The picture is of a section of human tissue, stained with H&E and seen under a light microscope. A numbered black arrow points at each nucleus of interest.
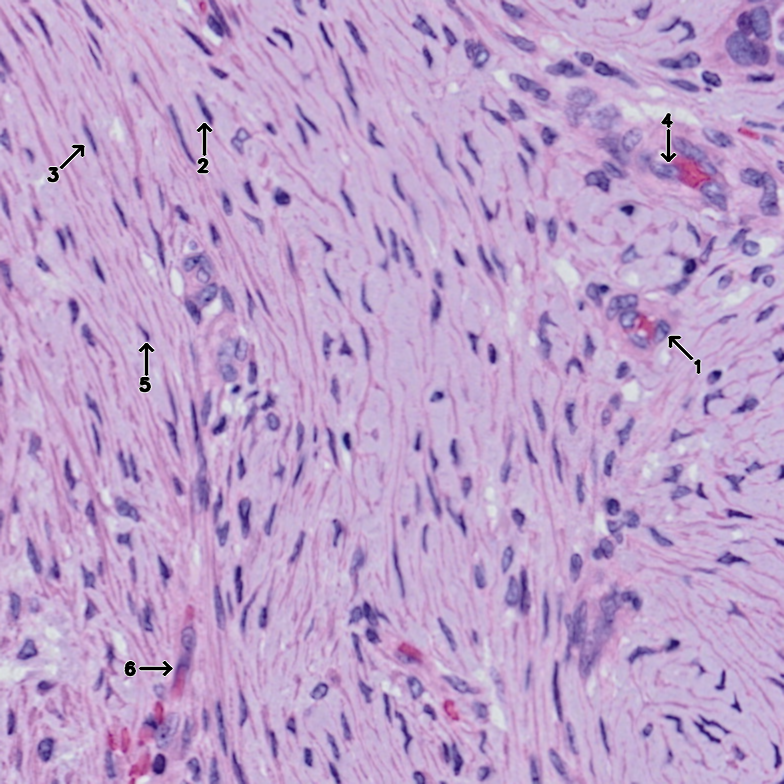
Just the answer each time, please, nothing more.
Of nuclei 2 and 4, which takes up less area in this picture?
2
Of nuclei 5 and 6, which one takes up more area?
6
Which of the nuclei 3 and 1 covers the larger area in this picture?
1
